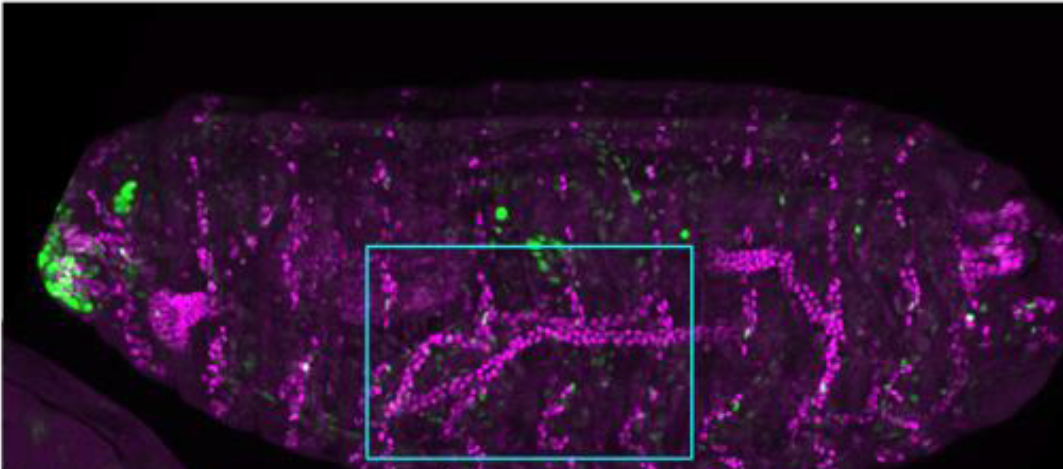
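This is a whole late-stage insect embryo seen from the side, with the Malpighian tubules picked out by magenta nuclei. Long strings of tightly packed magenta nuclei run lengthwise through the middle of the embryo and branch, with one loop bending back on itself. Repeating vertical bands of magenta nuclei lie along the body segments. Green nuclei are scattered sparsely and a bright green cluster sits at the head end. The green nuclei do not coincide with the magenta strings of tubule nuclei.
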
